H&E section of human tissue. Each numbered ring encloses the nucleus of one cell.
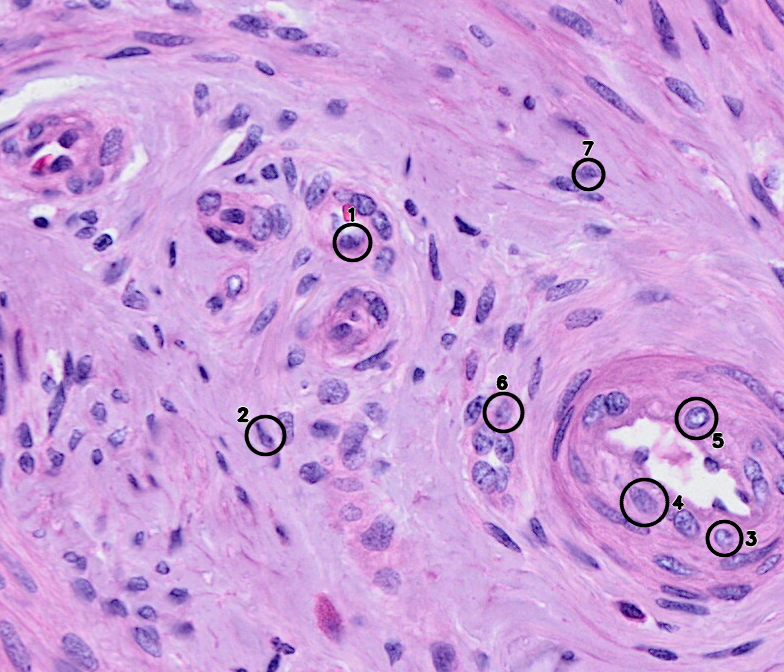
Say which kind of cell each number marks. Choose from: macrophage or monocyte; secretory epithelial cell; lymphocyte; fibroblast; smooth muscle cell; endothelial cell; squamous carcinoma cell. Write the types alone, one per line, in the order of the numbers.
endothelial cell
fibroblast
smooth muscle cell
smooth muscle cell
smooth muscle cell
endothelial cell
fibroblast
